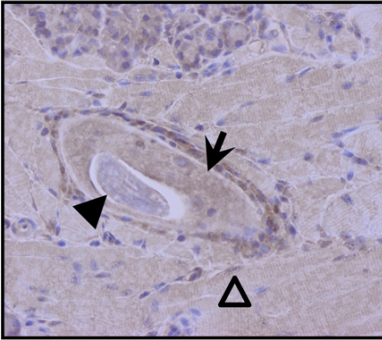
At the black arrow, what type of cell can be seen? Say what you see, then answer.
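An oval cell with a capsule and many nuclei around a coiled body. Ring of small dark cells around its capsule. Lies within striated muscle.
Conclusion: nurse cells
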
